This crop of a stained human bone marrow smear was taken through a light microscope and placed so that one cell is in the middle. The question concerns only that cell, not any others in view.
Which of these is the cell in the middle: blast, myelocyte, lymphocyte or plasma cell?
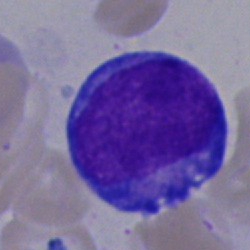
blast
